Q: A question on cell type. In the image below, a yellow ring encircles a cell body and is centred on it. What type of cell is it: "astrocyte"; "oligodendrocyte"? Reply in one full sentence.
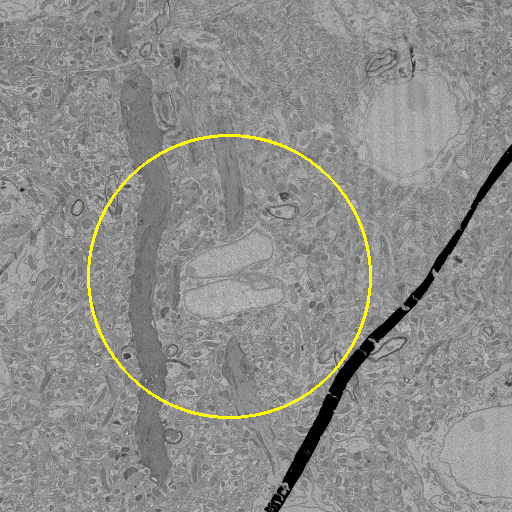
It is an astrocyte whose cell body sits at the centre of the yellow ring in the image.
